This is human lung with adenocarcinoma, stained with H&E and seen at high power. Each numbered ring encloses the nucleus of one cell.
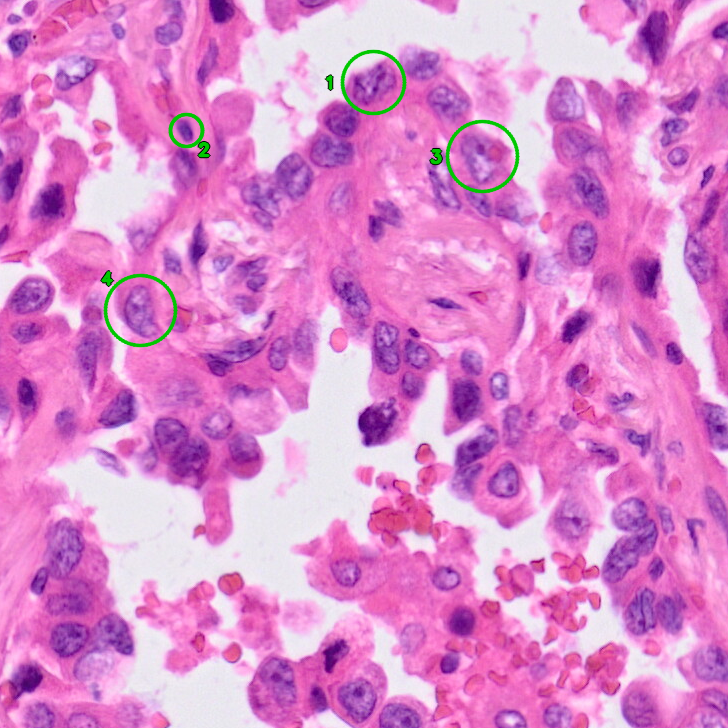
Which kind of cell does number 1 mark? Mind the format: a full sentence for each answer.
Identified as a carcinoma cell is the cell bearing the number 1.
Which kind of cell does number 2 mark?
The cell pointed out as number 2 is a lymphocyte.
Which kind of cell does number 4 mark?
It is as a carcinoma cell that the cell numbered 4 is identified.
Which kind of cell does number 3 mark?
The cell given label 3 is a carcinoma cell.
